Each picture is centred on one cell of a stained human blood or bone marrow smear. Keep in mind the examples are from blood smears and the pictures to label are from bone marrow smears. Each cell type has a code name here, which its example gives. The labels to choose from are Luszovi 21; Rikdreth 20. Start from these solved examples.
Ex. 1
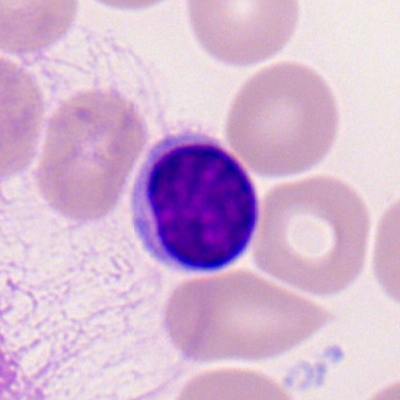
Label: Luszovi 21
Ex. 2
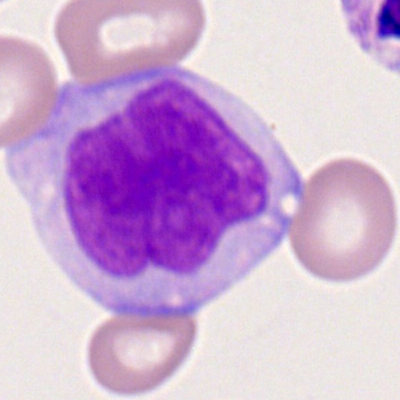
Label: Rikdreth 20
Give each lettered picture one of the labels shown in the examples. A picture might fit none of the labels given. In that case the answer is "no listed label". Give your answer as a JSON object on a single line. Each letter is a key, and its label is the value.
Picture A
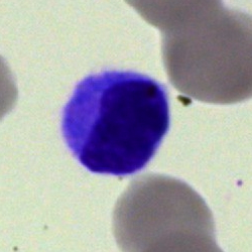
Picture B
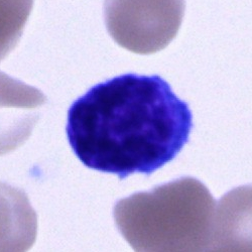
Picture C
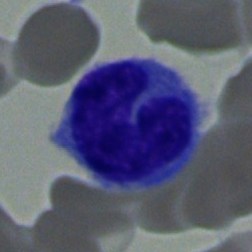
{"A": "Luszovi 21", "B": "no listed label", "C": "Rikdreth 20"}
